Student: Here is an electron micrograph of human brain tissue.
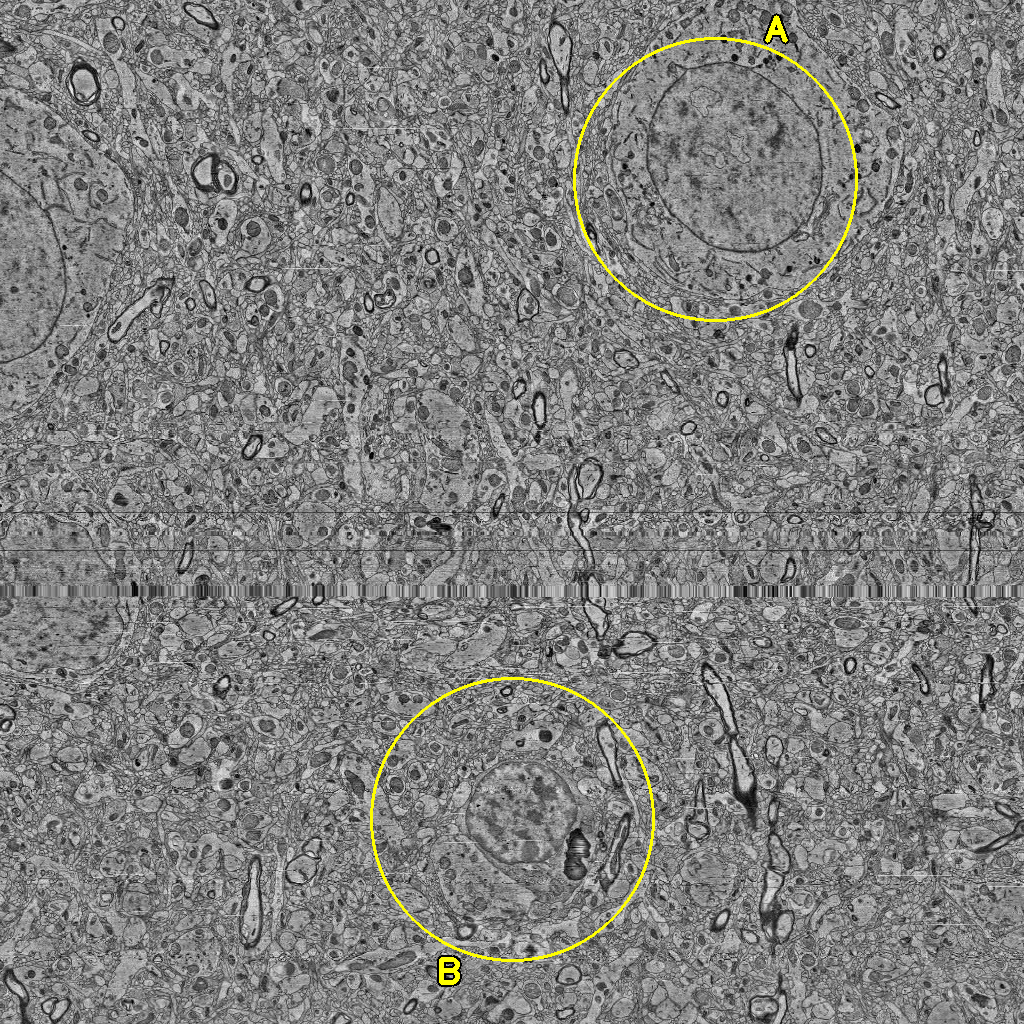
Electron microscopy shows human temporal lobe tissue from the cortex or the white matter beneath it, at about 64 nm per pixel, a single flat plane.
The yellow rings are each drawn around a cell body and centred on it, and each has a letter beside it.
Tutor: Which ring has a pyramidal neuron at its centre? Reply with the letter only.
A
